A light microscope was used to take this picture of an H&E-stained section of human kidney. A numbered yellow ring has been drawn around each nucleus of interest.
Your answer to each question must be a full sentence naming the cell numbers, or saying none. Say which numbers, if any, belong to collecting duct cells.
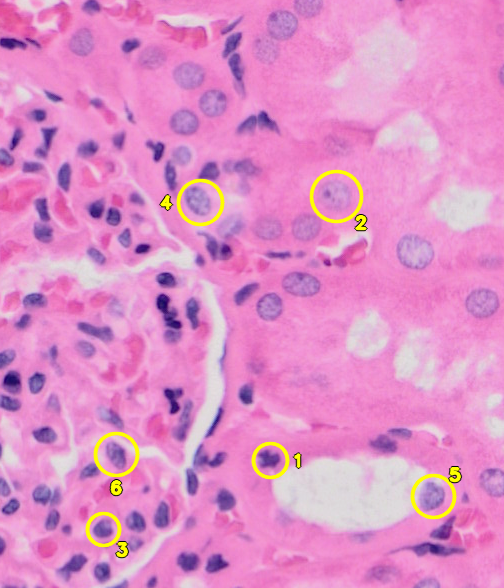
It is only cell 4 that is a collecting duct cell among the numbered cells.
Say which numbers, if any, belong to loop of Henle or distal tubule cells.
Classified as loop of Henle or distal tubule cells are the cells numbered 1 and 5.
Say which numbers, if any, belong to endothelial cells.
The cells numbered 3 and 6 are typed as endothelial cells.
